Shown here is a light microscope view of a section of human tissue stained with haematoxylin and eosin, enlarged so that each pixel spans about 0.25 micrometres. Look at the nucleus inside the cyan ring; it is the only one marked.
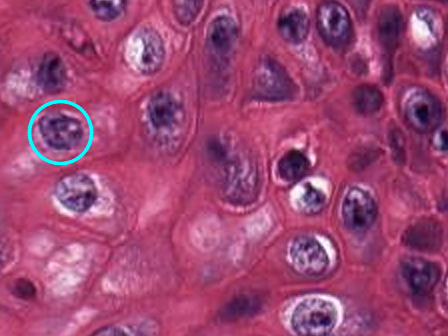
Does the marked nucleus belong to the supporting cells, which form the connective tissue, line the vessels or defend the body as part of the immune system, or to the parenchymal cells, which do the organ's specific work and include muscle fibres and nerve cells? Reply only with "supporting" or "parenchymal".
parenchymal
